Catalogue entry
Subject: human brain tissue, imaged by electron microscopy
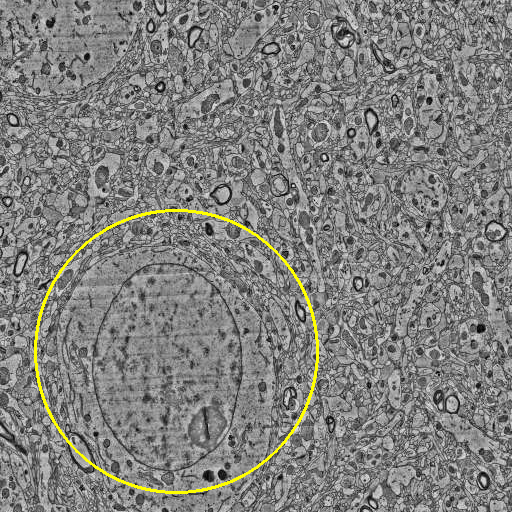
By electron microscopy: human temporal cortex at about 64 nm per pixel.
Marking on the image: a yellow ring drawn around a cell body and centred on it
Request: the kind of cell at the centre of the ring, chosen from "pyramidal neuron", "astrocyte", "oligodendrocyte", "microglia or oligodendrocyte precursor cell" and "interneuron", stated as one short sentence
The ring has a pyramidal neuron at its centre.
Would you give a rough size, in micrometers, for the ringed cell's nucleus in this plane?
Roughly 13 by 10 micrometres is the size of the nucleus in this plane.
